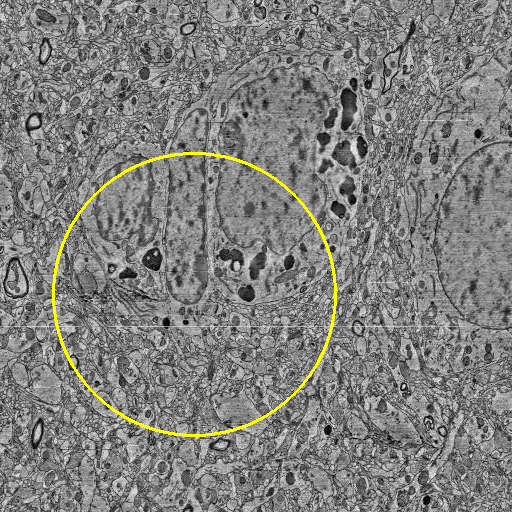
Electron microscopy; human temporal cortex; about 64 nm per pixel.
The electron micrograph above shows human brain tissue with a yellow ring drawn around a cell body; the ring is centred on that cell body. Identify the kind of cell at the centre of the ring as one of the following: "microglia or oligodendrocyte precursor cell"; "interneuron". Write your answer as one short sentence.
The cell at the centre of the ring is a microglial cell or oligodendrocyte precursor cell.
